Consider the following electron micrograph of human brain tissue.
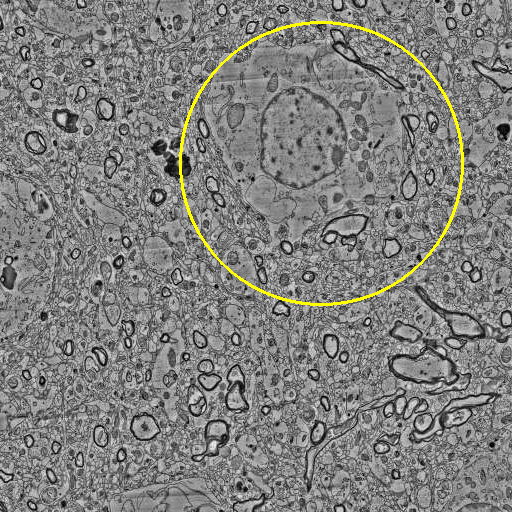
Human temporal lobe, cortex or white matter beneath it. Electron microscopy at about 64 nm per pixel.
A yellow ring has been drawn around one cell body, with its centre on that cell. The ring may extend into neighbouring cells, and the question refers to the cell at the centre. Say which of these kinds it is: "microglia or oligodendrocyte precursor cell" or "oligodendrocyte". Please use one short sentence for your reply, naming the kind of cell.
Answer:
The centre of the ring falls on an oligodendrocyte.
